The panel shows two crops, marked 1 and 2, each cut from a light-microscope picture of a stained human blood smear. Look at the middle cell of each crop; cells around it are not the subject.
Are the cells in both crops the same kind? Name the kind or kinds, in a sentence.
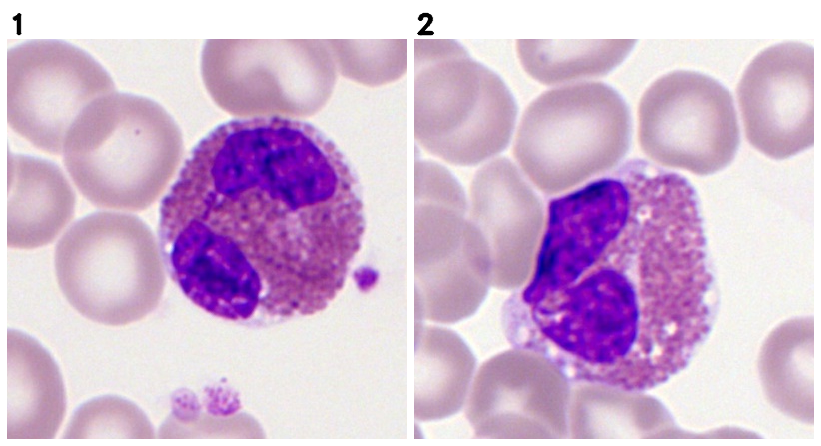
Yes, eosinophils are centred in both crops.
